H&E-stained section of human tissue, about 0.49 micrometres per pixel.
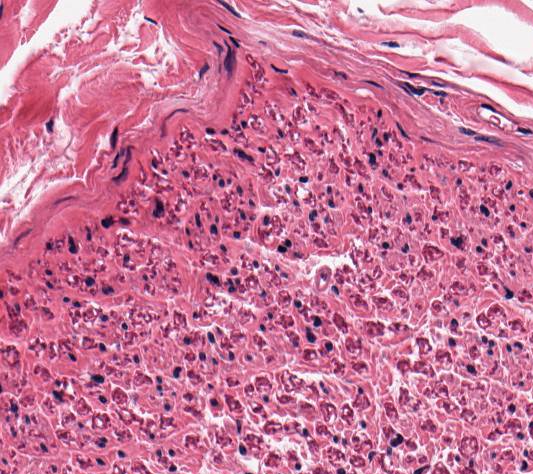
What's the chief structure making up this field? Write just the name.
nerve fascicle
